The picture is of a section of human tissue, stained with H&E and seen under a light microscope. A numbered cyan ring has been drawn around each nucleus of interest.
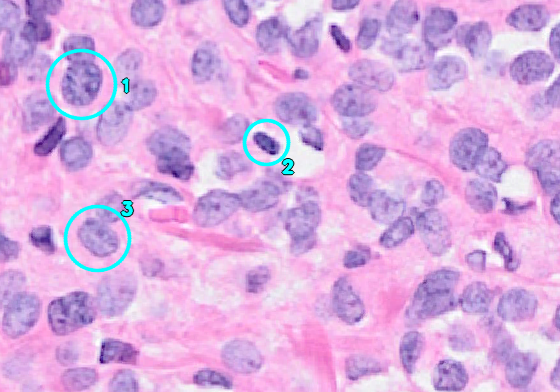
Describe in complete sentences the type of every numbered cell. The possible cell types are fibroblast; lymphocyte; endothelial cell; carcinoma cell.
Cells 1 and 3 are carcinoma cells. Cell 2 is a lymphocyte.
